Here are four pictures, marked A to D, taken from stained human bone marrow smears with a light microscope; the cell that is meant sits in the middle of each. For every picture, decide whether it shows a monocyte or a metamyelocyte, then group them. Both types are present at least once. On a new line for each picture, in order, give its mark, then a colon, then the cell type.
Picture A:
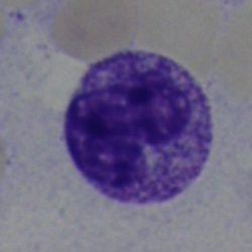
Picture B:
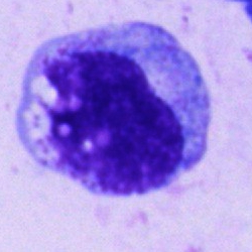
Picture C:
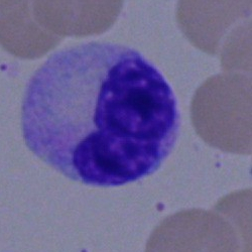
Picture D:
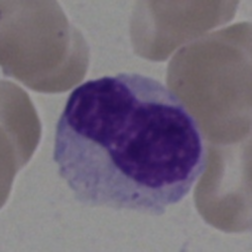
A: metamyelocyte
B: monocyte
C: metamyelocyte
D: metamyelocyte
